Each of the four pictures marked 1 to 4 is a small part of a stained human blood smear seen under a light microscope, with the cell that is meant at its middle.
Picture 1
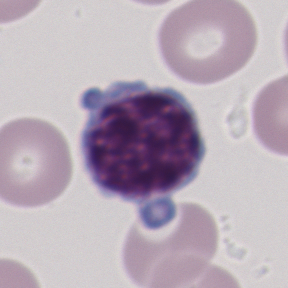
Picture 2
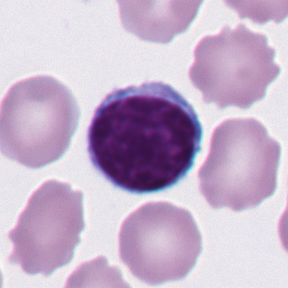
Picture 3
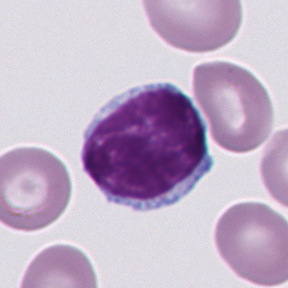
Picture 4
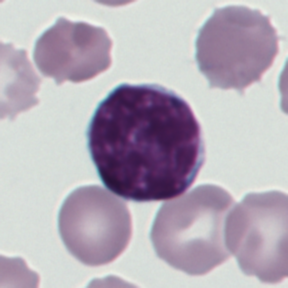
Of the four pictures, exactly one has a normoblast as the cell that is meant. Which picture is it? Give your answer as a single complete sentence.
It is picture 1 that shows the normoblast.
